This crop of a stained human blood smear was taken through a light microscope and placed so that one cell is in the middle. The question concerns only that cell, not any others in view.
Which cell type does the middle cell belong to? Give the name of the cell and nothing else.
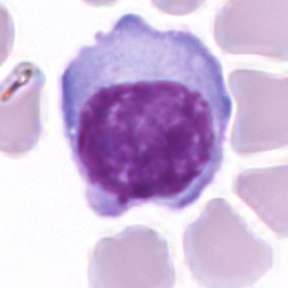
plasma cell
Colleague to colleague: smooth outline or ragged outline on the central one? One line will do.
Projections or ragged segments give this cell an irregular rather than smooth border.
